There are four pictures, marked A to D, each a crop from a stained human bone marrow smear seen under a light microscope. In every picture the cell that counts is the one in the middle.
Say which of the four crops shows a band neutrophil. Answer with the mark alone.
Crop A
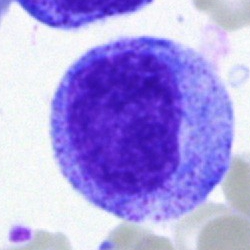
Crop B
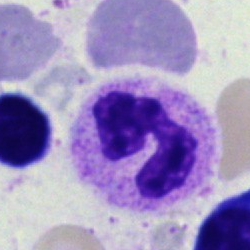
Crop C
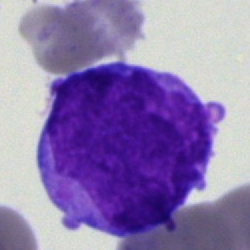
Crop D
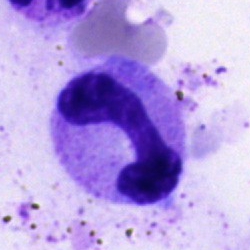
D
